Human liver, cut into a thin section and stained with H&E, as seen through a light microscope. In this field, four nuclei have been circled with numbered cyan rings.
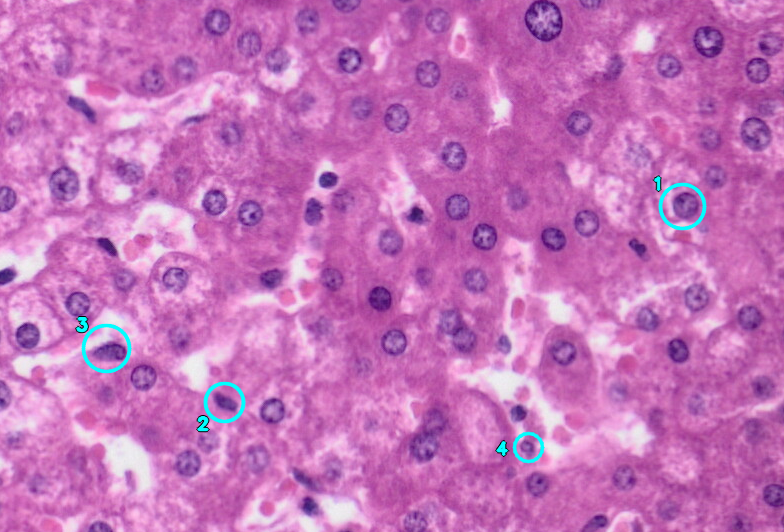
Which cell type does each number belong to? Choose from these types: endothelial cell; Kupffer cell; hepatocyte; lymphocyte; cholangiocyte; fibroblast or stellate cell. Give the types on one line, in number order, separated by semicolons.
hepatocyte; fibroblast or stellate cell; Kupffer cell; Kupffer cell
